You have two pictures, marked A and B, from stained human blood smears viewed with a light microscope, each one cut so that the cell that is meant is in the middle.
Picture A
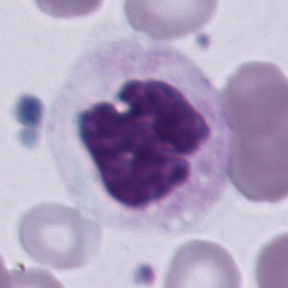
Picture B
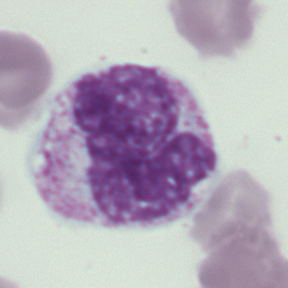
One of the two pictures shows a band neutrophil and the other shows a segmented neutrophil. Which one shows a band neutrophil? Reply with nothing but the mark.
B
